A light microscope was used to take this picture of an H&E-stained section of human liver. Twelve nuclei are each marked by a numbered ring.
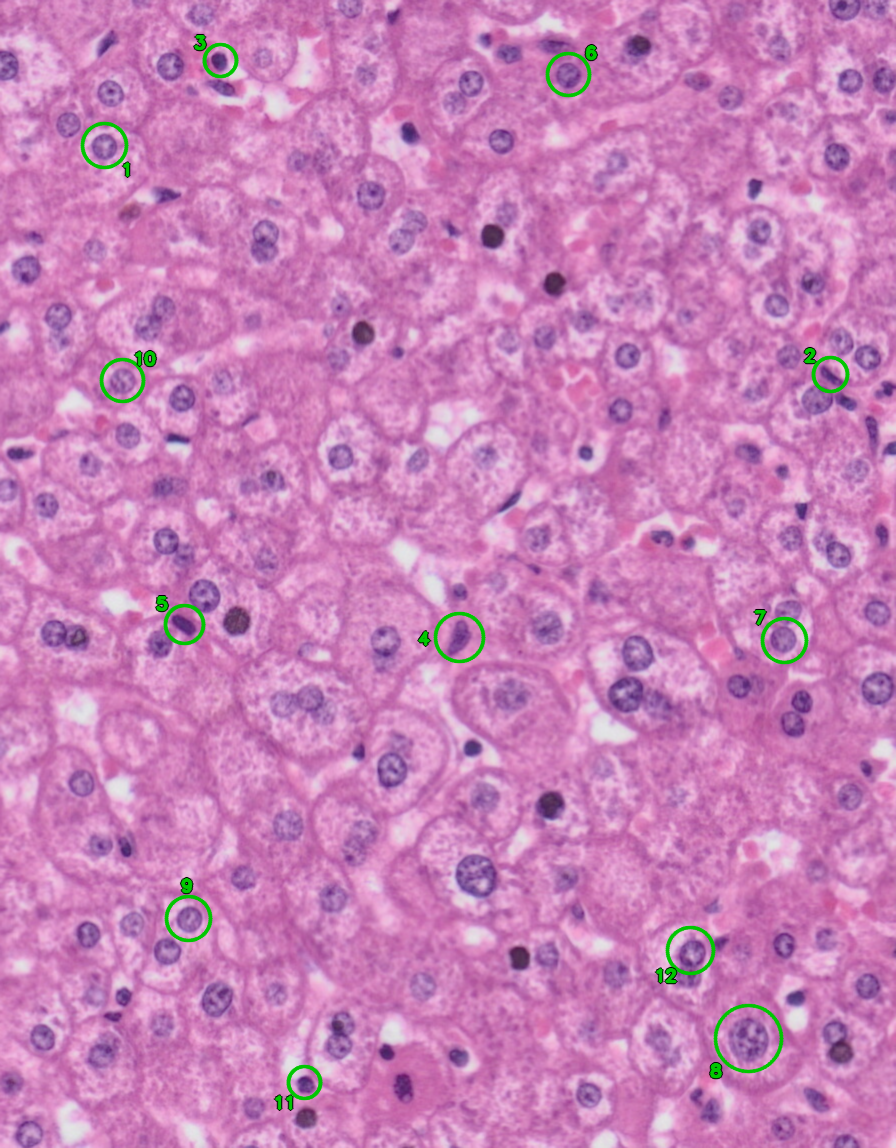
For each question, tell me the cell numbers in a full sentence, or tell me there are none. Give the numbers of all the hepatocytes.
Marked by the numbers 1, 6, 7, 8, 9, 10 and 12 are cells that are hepatocytes.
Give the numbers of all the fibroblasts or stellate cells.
In terms of cell type, cells 2 and 5 are fibroblasts or stellate cells.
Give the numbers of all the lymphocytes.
The numbers 3 and 11 mark cells that are lymphocytes.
